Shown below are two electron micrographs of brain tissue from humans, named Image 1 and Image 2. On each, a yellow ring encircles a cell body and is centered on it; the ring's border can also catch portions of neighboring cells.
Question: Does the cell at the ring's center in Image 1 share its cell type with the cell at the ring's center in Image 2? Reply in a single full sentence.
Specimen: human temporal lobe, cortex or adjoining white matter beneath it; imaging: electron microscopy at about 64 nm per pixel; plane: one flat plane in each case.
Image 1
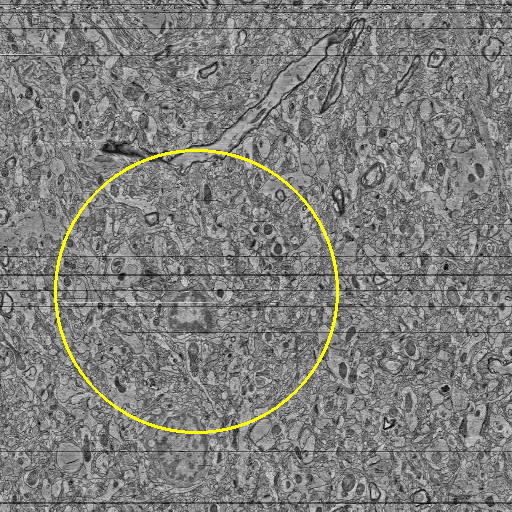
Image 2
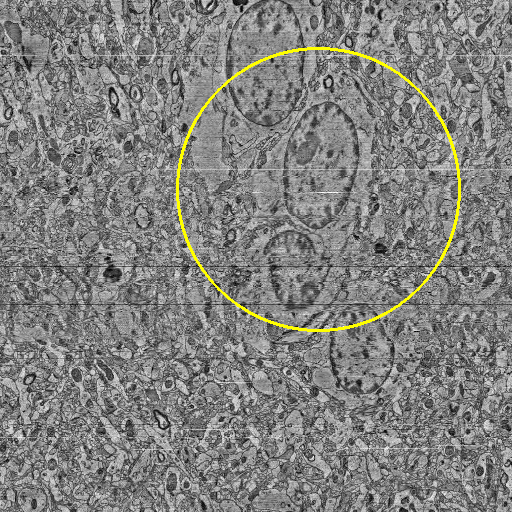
No, the two cells at the ring centers, in Image 1 and Image 2, are of two cell types.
